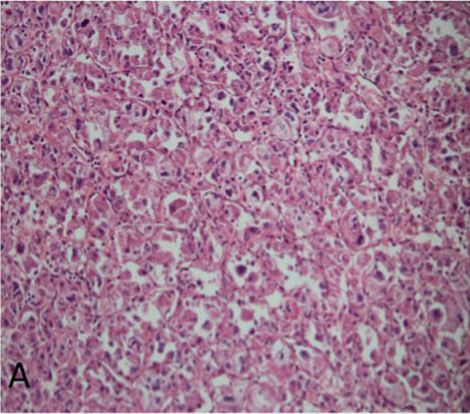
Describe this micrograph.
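At lower power the tissue is made of sheets of large polygonal cells with pink cytoplasm, grouped into nests by thin strands of tissue with small vessels. This is the nested pattern of a tumour of large polygonal cells divided by thin fibrovascular septa.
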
